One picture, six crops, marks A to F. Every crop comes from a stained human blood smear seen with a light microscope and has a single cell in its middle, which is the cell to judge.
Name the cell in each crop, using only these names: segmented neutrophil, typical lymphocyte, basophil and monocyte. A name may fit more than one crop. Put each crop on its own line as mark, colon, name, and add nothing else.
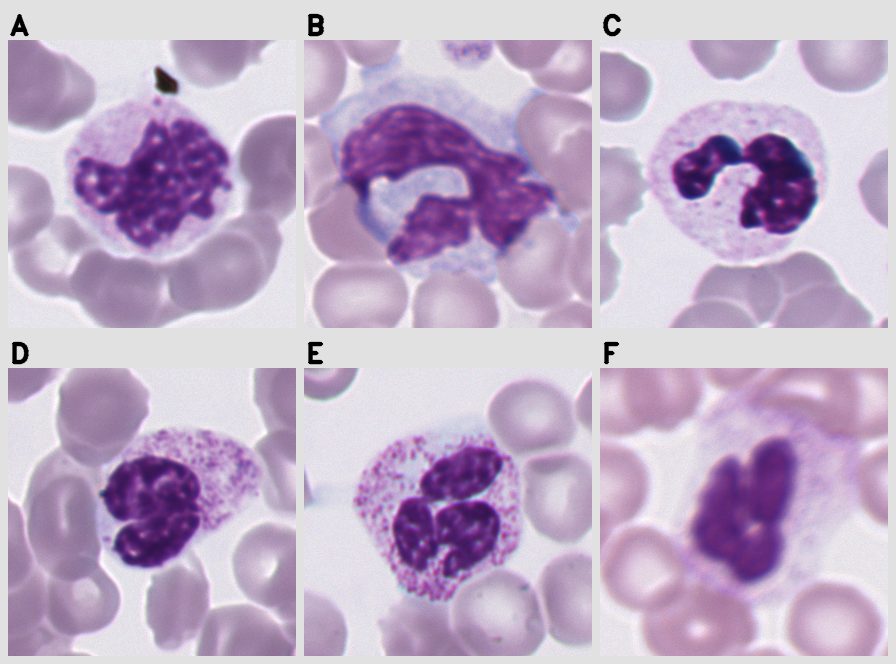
A: segmented neutrophil
B: monocyte
C: segmented neutrophil
D: segmented neutrophil
E: segmented neutrophil
F: segmented neutrophil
